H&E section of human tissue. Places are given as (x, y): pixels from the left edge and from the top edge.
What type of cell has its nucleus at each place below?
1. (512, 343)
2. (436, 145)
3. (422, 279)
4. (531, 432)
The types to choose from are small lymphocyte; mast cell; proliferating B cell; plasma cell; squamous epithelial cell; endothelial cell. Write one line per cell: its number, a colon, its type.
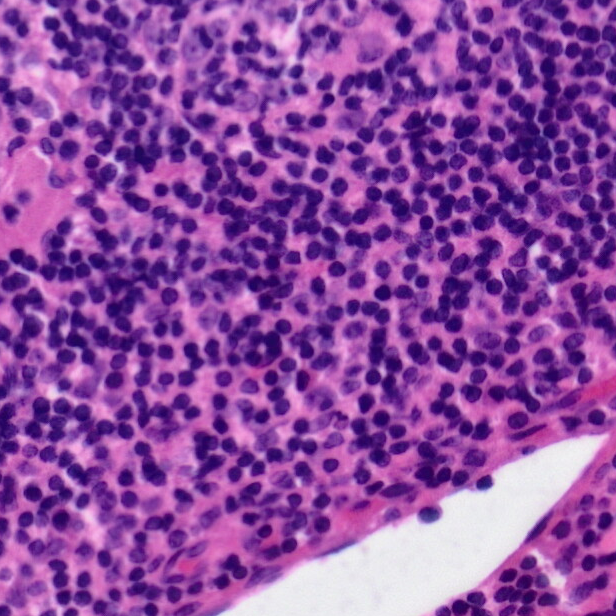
1: small lymphocyte
2: small lymphocyte
3: small lymphocyte
4: endothelial cell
